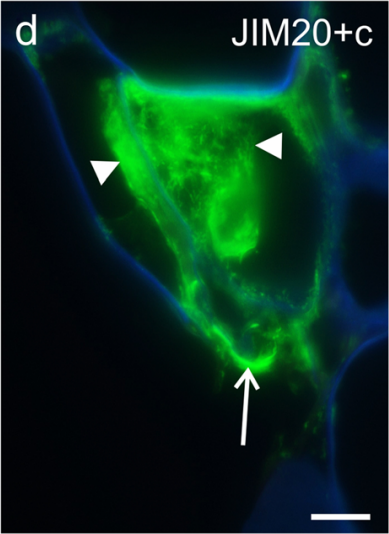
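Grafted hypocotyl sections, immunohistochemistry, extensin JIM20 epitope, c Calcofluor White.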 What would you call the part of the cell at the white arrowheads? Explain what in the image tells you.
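The arrowheads lie on a green, granular-fibrous mass inside a cell outlined by a blue wall.
Answer: cytoplasmic compartments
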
